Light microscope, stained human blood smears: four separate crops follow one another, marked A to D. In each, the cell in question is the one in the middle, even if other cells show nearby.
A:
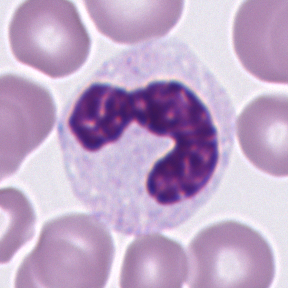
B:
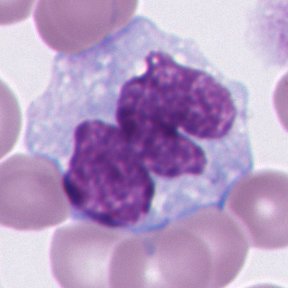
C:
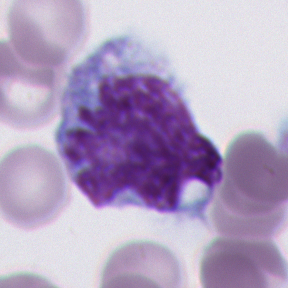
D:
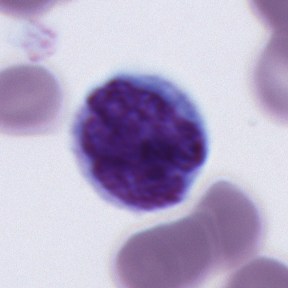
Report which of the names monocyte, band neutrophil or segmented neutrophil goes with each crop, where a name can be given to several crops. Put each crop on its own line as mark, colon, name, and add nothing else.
A: segmented neutrophil
B: monocyte
C: monocyte
D: monocyte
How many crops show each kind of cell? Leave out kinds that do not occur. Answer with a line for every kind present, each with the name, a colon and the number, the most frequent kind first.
monocyte: 3
segmented neutrophil: 1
